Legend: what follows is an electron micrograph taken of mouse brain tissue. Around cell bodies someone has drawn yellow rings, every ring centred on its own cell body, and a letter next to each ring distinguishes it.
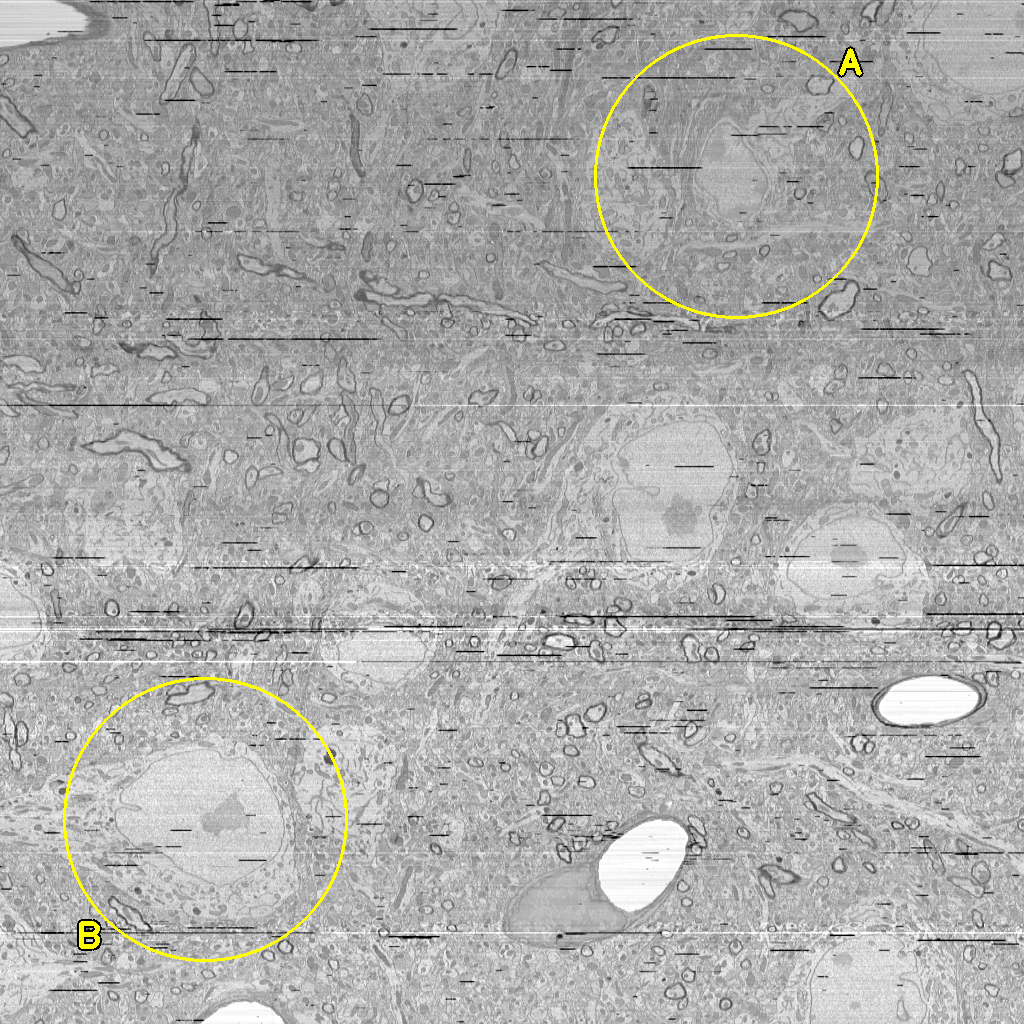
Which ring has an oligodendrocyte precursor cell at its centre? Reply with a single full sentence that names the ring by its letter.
Ring A is the one centred on the cell asked for in the picture.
